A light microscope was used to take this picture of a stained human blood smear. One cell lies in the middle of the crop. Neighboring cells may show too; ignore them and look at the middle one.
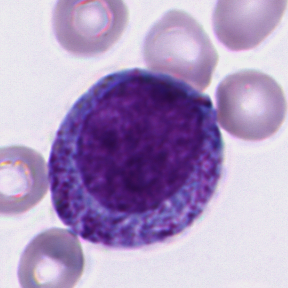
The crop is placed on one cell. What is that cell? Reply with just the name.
promyelocyte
